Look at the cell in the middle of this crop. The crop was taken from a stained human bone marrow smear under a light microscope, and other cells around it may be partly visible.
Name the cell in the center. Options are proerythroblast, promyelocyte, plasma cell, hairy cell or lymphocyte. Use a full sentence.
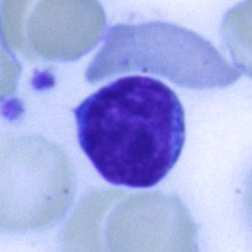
In this crop, the cell at the very middle is a lymphocyte.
